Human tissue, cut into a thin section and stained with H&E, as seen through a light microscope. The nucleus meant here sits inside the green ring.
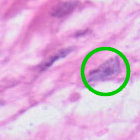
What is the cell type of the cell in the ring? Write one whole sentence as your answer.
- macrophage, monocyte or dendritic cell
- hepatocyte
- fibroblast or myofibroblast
The cell meant here is a fibroblast or myofibroblast.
